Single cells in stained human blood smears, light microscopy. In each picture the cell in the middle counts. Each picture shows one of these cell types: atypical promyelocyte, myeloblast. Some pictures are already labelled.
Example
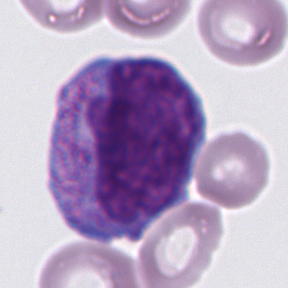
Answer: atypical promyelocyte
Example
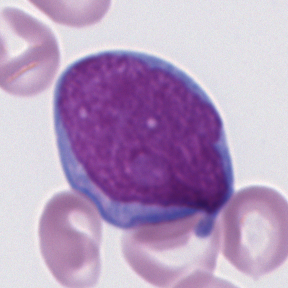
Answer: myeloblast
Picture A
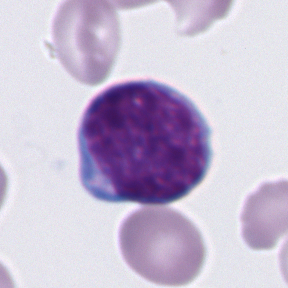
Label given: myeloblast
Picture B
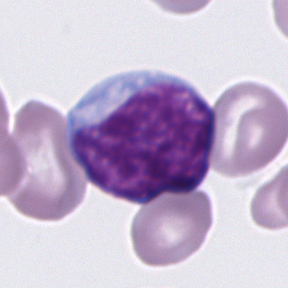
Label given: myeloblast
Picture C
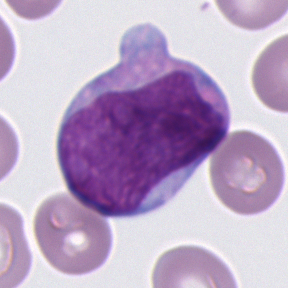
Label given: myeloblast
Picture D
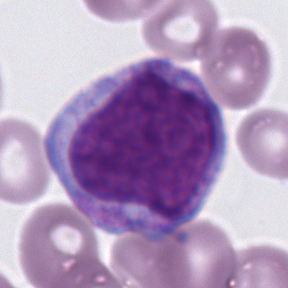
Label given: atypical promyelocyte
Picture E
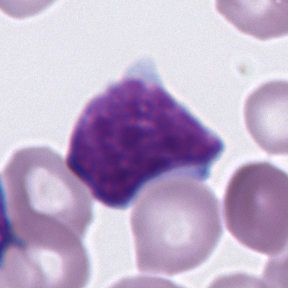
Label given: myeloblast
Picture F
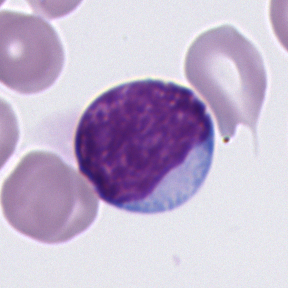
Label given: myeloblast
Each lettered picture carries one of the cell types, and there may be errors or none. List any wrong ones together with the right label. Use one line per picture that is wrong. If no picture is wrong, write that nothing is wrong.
C should be atypical promyelocyte, not myeloblast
